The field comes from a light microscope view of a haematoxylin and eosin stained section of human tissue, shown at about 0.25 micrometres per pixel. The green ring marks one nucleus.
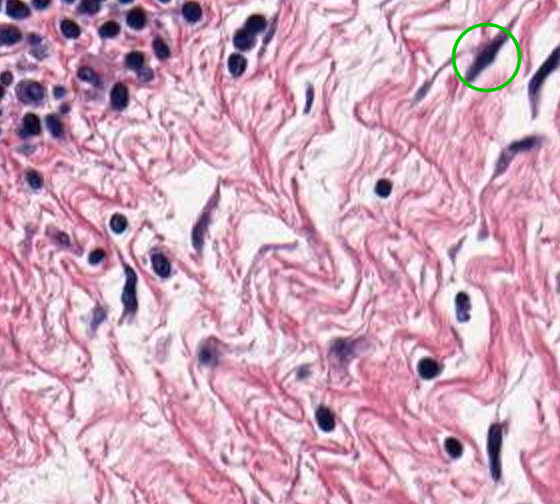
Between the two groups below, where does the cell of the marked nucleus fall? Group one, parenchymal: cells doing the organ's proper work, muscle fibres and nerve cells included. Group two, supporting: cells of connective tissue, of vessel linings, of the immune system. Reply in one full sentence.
The marked nucleus belongs to a supporting cell.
